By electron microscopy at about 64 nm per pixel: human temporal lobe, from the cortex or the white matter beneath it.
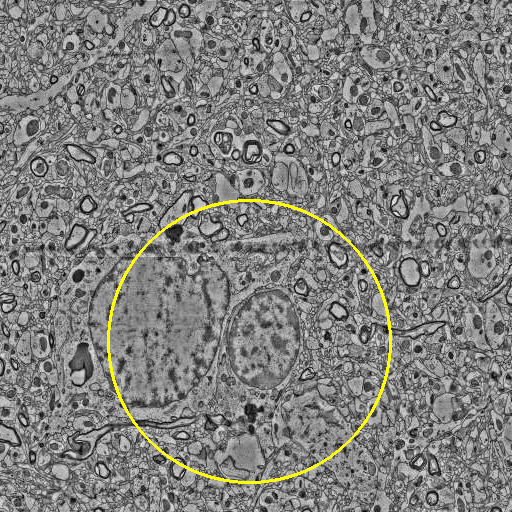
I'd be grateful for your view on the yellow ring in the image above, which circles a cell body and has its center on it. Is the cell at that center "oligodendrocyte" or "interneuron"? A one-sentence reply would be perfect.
The cell at the center of the yellow ring is an oligodendrocyte.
